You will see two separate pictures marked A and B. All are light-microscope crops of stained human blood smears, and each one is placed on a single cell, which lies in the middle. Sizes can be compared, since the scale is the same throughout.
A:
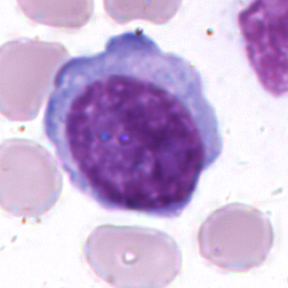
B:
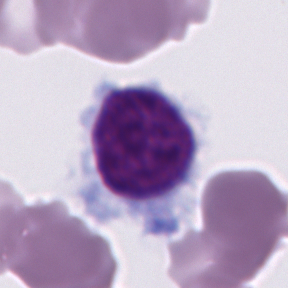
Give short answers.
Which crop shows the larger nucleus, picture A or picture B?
A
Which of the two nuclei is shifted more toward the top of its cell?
B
